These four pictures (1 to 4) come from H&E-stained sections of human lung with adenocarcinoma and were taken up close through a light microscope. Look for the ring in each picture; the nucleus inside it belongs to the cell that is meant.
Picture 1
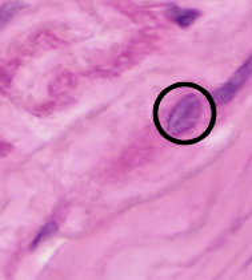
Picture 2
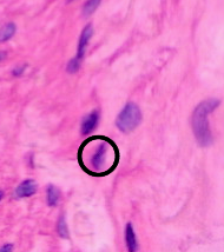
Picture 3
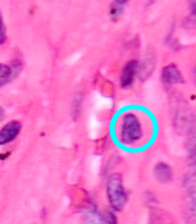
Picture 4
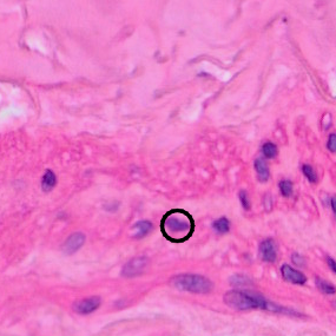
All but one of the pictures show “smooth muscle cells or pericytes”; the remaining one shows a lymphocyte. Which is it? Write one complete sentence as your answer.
It is picture 3 that shows the lymphocyte.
